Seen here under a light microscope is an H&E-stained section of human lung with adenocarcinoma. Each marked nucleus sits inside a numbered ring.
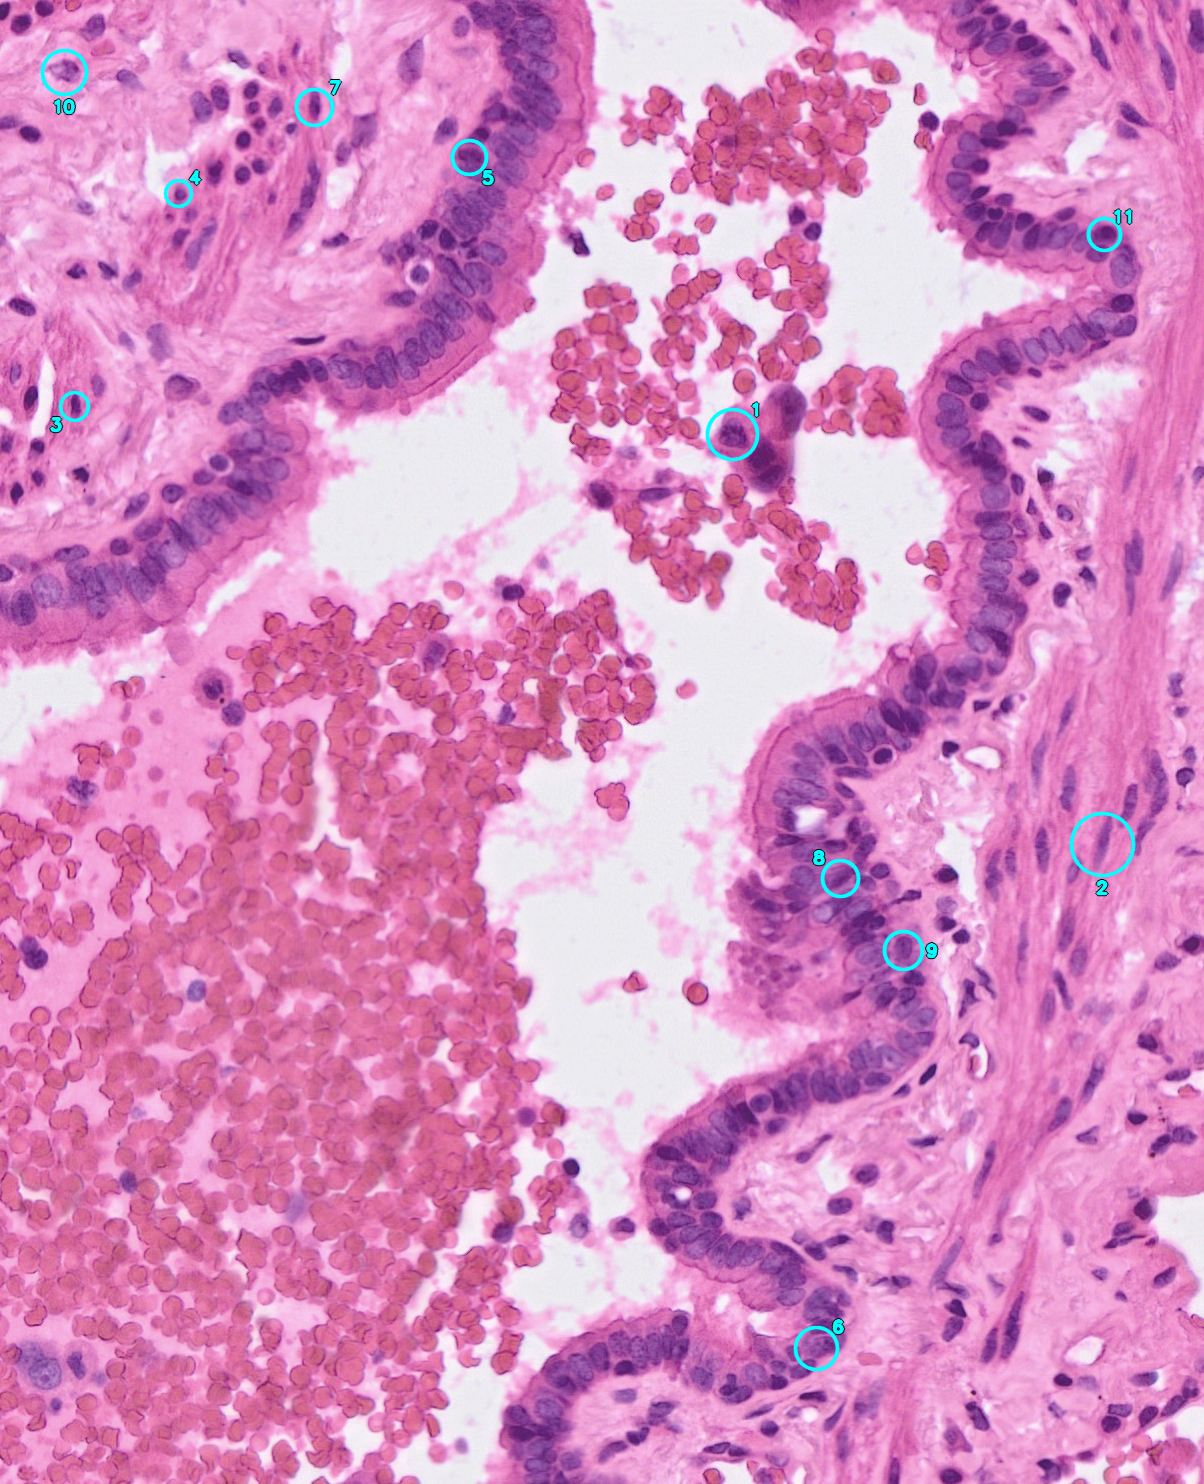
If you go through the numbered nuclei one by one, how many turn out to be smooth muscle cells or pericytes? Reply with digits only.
4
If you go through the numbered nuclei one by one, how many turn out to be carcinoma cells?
1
